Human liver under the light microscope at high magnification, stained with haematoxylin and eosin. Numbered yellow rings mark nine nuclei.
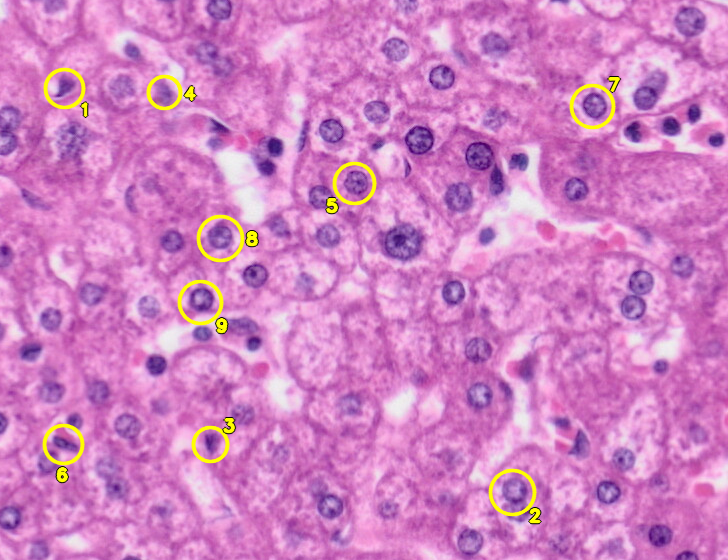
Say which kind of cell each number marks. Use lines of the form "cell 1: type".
cell 1: endothelial cell
cell 2: hepatocyte
cell 3: fibroblast or stellate cell
cell 4: Kupffer cell
cell 5: hepatocyte
cell 6: endothelial cell
cell 7: hepatocyte
cell 8: hepatocyte
cell 9: hepatocyte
